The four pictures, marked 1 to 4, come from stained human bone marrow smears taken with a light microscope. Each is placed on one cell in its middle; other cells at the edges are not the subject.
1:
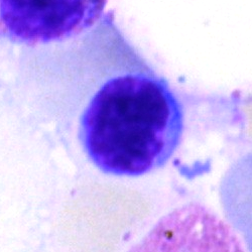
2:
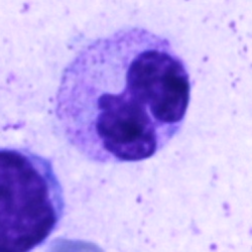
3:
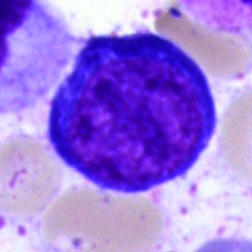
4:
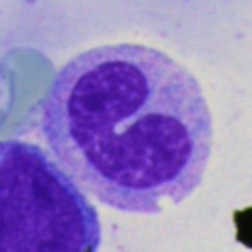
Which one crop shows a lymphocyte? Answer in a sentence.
The sole crop showing a lymphocyte is crop 1.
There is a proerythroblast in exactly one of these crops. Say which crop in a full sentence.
Among the crops given, only crop 3 shows a proerythroblast.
